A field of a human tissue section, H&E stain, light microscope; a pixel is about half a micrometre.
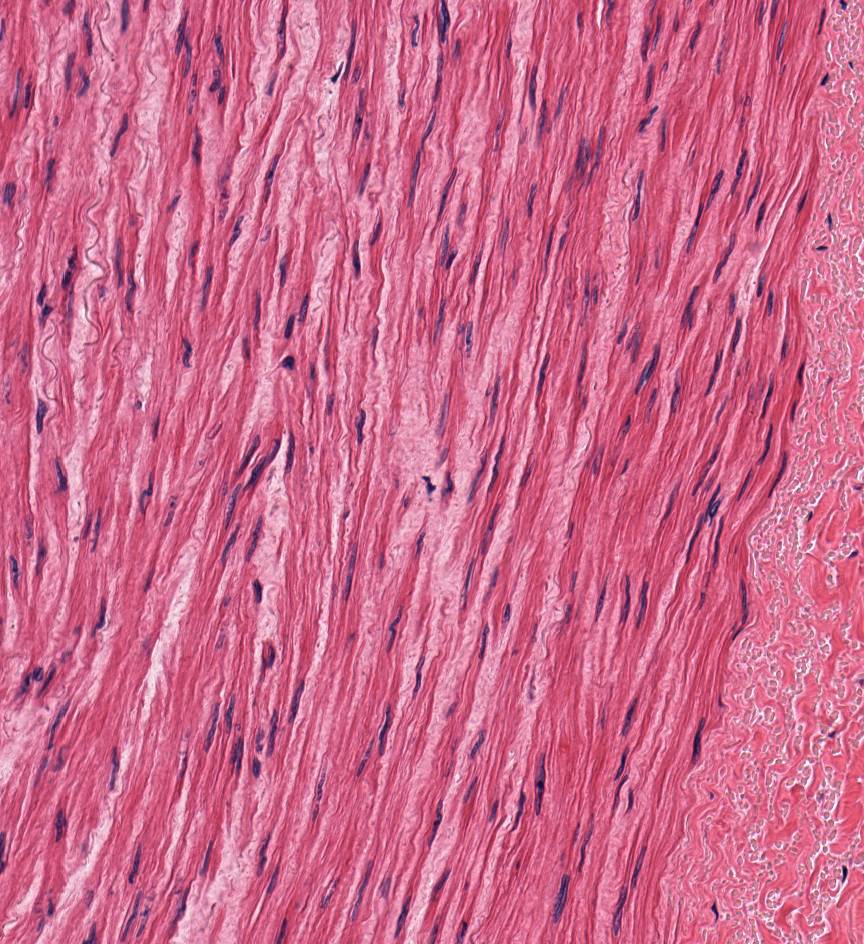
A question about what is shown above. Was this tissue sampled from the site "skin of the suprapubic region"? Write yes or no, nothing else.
no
